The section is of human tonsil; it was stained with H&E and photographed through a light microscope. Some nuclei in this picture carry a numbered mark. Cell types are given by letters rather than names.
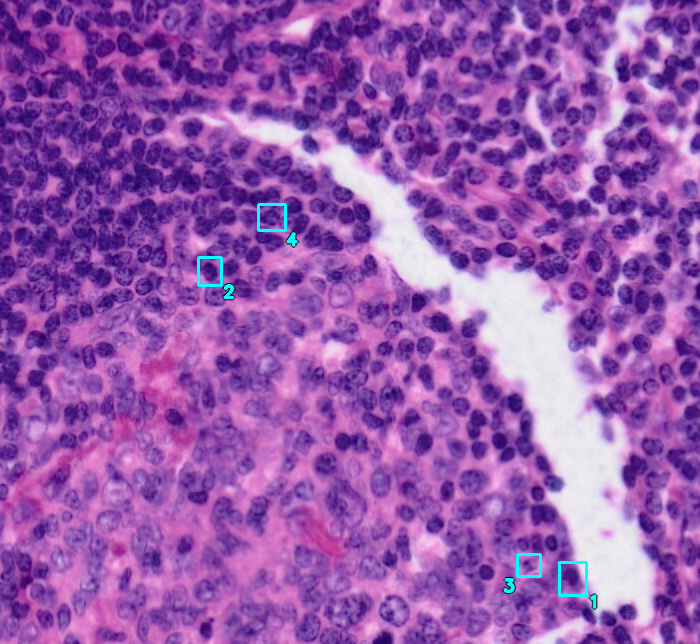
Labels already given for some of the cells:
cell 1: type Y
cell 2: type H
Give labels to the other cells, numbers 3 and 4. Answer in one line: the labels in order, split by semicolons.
type Y; type H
